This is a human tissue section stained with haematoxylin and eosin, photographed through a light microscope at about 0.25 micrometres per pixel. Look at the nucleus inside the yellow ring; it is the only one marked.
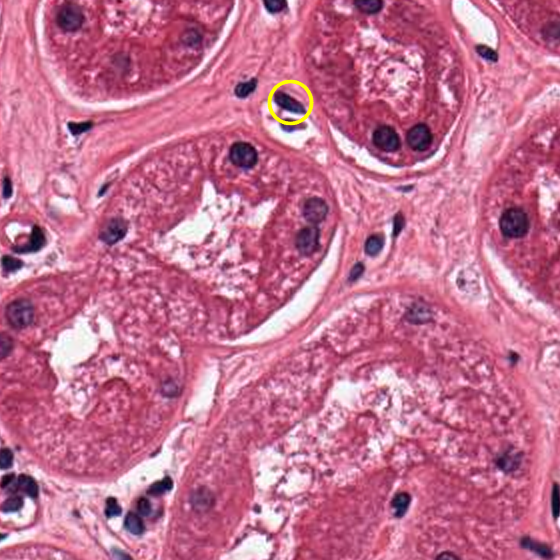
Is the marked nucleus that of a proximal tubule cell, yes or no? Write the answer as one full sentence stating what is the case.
No, that the marked nucleus belongs to a proximal tubule cell does not hold; it belongs to a supporting cell.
